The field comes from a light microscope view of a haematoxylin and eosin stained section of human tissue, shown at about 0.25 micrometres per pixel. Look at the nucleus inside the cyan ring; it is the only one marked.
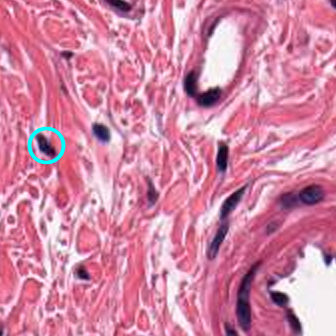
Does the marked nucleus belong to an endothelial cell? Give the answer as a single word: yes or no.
no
